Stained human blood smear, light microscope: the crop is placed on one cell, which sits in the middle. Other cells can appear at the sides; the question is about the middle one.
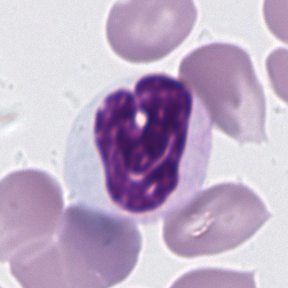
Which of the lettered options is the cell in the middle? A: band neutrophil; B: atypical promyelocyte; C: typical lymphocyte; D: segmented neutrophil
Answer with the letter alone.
A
